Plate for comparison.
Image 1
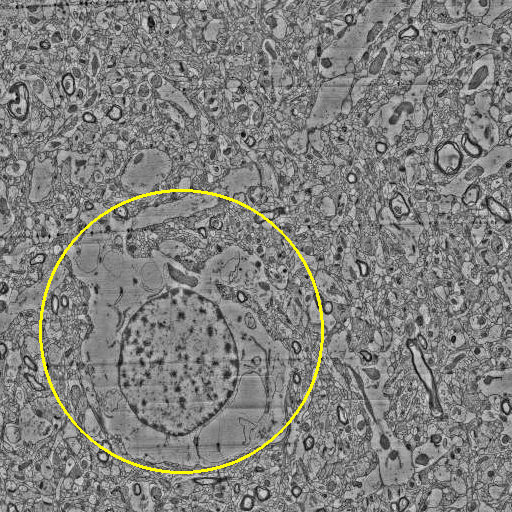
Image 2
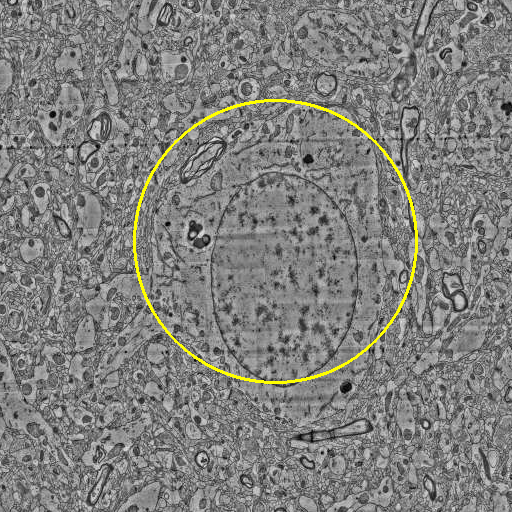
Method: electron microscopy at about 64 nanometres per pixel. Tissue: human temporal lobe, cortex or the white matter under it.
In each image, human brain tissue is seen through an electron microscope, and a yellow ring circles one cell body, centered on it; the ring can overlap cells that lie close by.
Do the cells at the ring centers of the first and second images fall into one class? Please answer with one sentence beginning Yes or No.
No, the first and second images show two classes of cell at the ring centers.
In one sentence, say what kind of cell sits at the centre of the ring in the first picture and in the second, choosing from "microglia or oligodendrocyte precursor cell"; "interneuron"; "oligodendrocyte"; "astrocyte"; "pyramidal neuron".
The first picture's ringed cell is an astrocyte, while the second picture's is a pyramidal neuron.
